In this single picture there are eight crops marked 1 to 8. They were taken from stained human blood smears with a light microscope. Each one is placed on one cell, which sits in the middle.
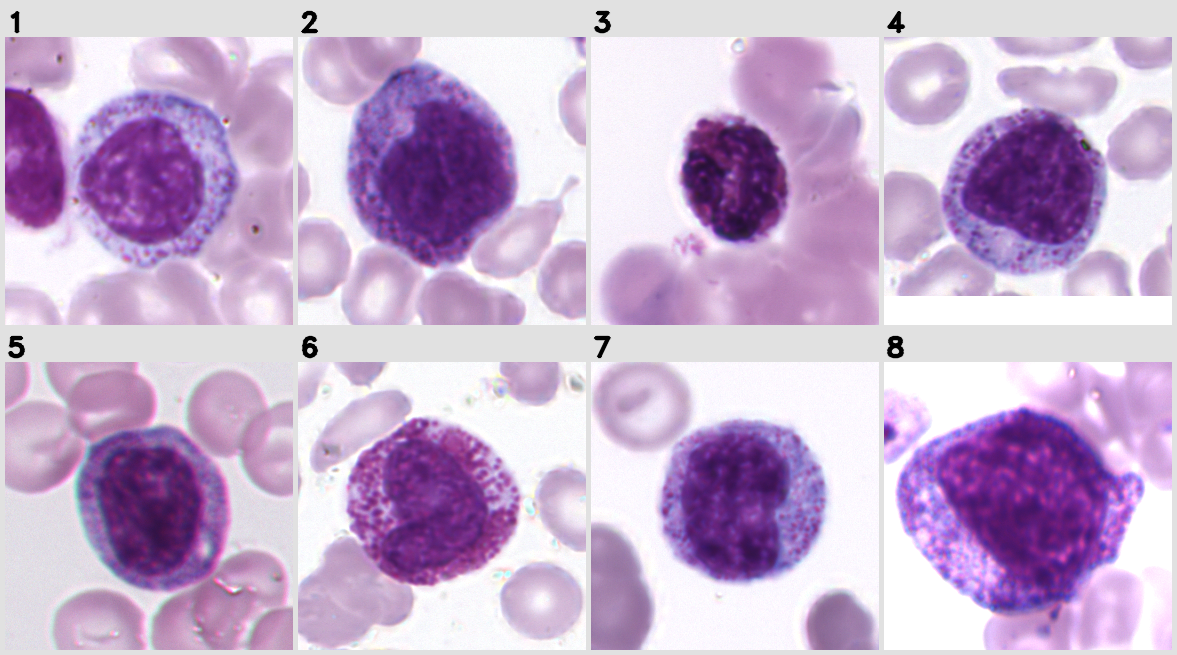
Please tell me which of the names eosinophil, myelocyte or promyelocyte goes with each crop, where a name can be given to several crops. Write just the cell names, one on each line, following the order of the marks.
myelocyte
promyelocyte
eosinophil
myelocyte
myelocyte
eosinophil
myelocyte
promyelocyte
